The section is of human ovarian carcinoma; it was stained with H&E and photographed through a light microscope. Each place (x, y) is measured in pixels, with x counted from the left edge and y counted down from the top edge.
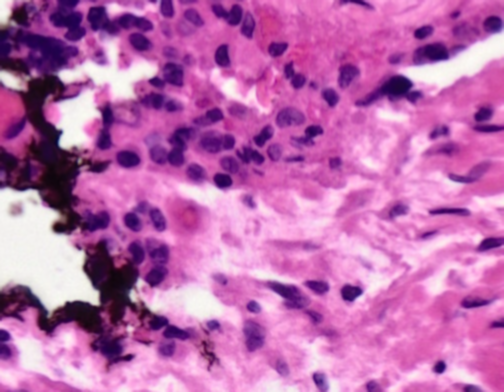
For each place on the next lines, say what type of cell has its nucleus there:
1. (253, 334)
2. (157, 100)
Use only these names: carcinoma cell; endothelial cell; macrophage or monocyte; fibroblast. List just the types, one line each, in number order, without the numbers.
fibroblast
carcinoma cell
